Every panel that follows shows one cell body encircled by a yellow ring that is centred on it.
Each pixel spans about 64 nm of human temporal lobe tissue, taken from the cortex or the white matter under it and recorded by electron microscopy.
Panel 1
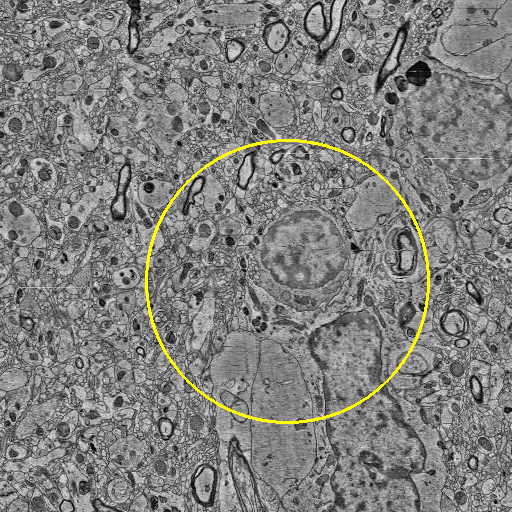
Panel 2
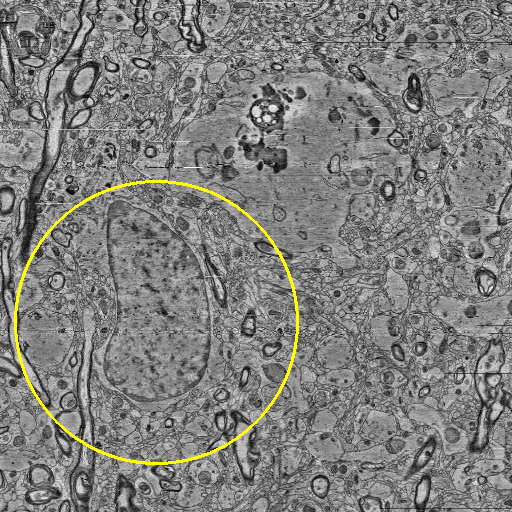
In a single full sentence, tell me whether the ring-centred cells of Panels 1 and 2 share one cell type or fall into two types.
In Panel 1 and Panel 2, the cells at the ring centres fall into two types.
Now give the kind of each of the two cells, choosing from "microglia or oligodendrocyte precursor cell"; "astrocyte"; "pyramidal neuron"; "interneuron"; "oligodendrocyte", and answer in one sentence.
The cell in the first picture is an oligodendrocyte, and the cell in the second is a microglial cell or oligodendrocyte precursor cell.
